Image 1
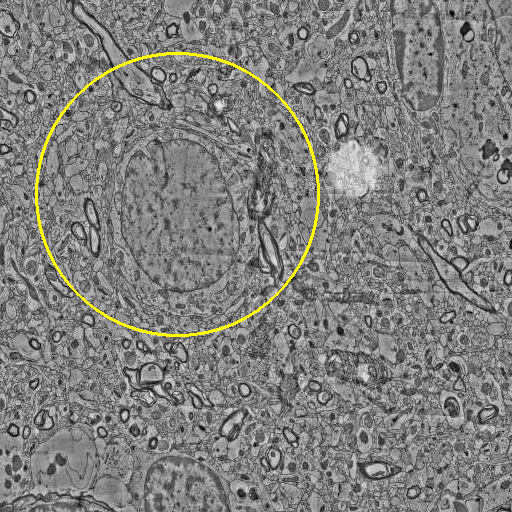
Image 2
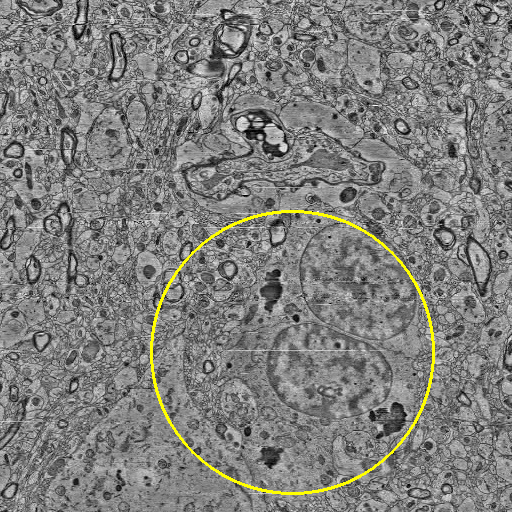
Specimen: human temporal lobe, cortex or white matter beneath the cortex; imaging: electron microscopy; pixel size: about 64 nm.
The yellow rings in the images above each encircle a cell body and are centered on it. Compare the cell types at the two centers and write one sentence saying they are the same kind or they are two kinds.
Taken together, the two cells at the ring centers are two kinds.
